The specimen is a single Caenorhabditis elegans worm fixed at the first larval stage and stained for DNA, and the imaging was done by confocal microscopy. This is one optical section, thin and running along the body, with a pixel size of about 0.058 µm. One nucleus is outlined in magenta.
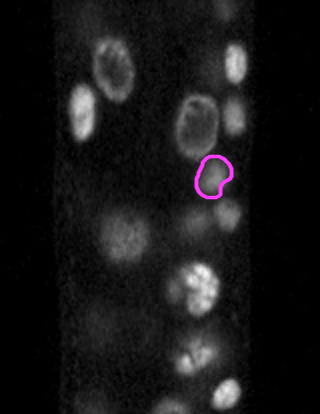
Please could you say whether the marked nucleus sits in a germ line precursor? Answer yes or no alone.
no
